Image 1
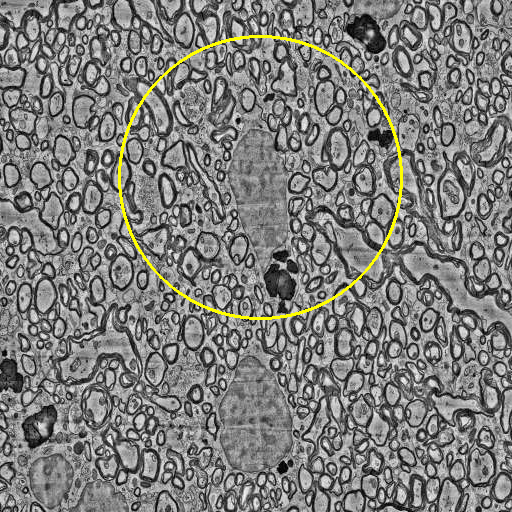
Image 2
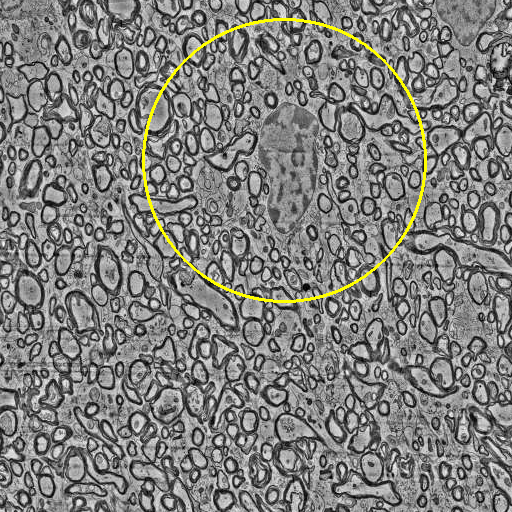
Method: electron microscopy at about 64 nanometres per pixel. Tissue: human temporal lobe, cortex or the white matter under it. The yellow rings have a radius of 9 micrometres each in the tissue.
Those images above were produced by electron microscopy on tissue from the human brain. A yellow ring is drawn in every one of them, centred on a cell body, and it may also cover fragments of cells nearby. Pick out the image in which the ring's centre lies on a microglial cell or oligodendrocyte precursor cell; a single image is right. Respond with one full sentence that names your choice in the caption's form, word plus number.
Image 2 is my choice: its ring is centred on the requested cell.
